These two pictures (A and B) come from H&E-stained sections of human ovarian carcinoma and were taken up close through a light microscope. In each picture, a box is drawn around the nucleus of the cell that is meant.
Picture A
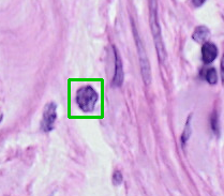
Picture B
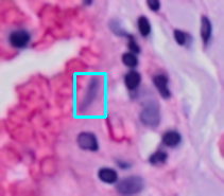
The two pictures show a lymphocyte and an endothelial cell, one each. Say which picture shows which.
A: lymphocyte
B: endothelial cell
